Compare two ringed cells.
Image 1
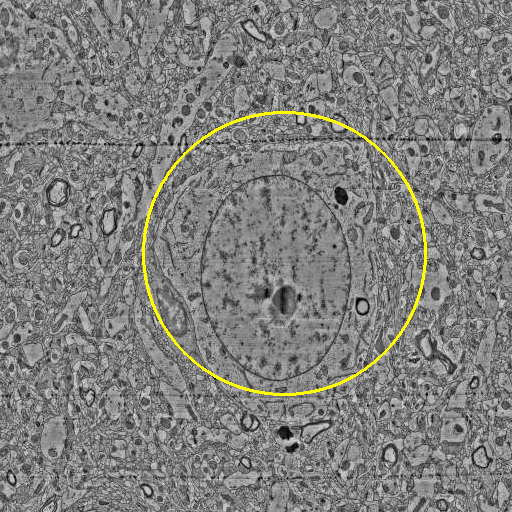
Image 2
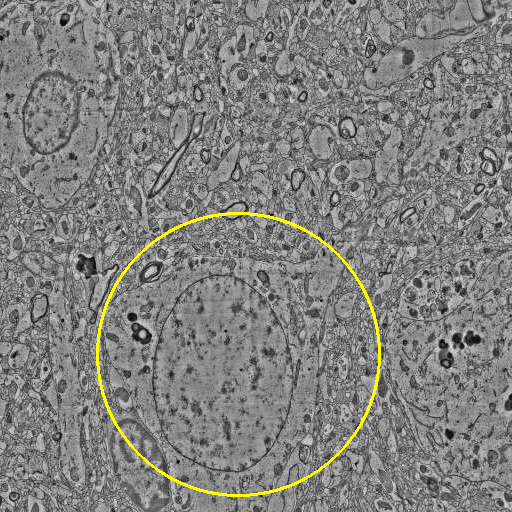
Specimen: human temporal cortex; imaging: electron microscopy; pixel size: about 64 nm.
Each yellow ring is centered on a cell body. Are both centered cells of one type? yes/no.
yes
